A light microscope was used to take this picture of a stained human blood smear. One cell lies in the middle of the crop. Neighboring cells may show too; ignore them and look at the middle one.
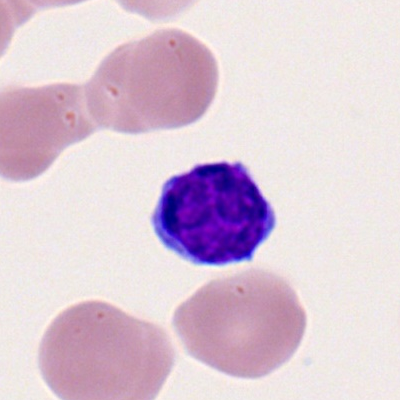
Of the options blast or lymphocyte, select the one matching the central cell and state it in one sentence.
The cell found in the middle of this crop is a lymphocyte.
